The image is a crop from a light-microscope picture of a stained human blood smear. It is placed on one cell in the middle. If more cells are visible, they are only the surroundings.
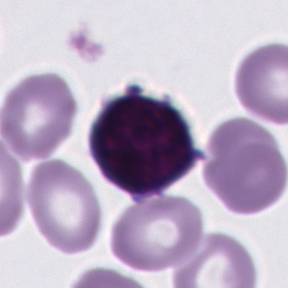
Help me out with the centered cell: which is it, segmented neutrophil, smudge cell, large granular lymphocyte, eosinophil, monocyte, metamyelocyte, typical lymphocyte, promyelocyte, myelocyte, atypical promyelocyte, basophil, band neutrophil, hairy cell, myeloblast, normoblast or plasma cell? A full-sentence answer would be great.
The cell at the central position in this crop is a myeloblast.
